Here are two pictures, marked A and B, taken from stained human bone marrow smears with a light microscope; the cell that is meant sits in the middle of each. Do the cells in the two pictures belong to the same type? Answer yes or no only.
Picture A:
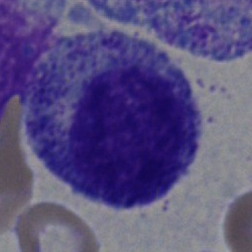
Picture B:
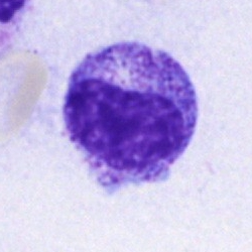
yes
